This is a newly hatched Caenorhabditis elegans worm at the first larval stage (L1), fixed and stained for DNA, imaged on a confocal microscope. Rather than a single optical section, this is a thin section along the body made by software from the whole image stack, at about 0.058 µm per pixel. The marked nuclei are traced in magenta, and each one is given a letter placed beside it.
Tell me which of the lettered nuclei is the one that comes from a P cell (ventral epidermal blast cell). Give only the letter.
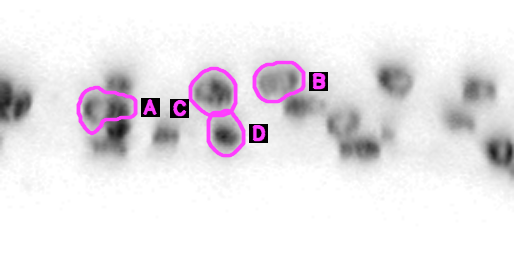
C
